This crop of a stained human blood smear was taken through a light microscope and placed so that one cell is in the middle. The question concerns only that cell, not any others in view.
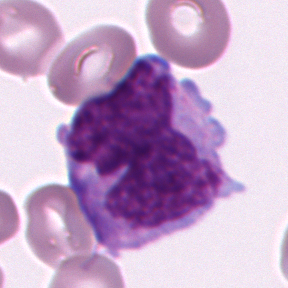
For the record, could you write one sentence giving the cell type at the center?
The central cell, amid any neighbouring cells, is an atypical promyelocyte.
